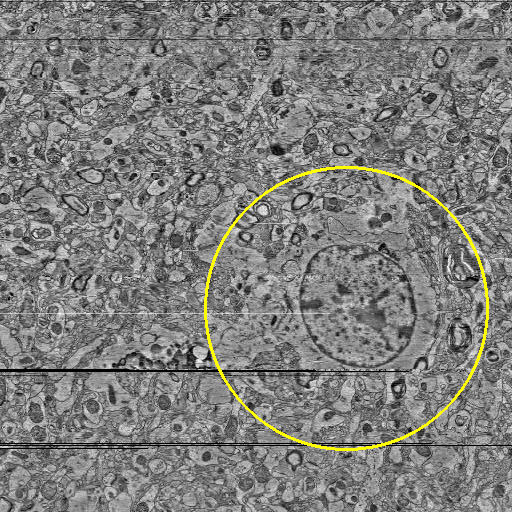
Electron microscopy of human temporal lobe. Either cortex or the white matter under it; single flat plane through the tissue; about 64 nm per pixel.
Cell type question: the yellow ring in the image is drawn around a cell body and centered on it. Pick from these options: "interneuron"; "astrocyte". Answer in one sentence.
The ringed cell at the center is an astrocyte.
